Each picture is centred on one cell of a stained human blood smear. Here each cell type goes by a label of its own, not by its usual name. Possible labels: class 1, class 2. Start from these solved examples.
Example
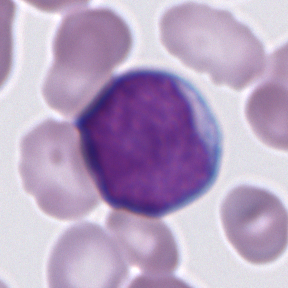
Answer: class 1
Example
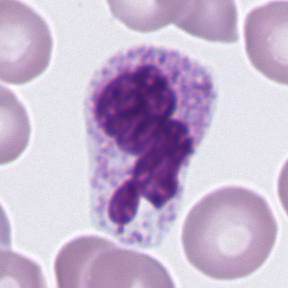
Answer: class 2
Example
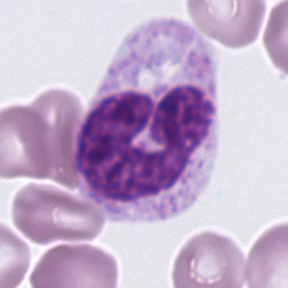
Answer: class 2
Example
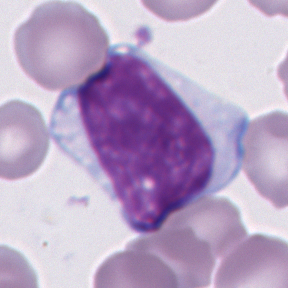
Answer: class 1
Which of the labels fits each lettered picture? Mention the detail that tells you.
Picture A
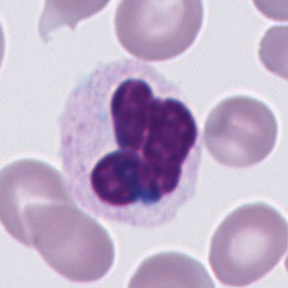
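class 2. The cytoplasm is plentiful and pale pinkish-grey.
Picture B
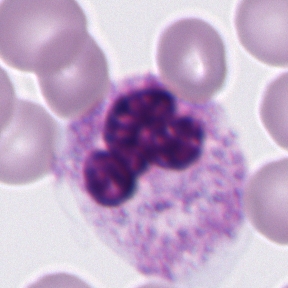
class 2. The cytoplasm is abundant and pale.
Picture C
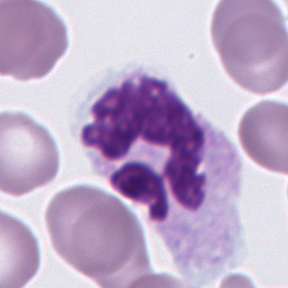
class 2. The nucleus forms a curved band of lobes that wraps around a pale central area of cytoplasm.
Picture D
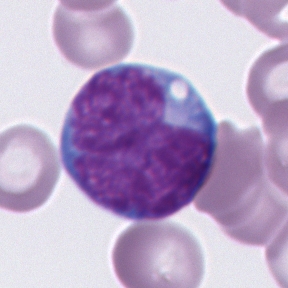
class 1. The nucleus fills most of the cell.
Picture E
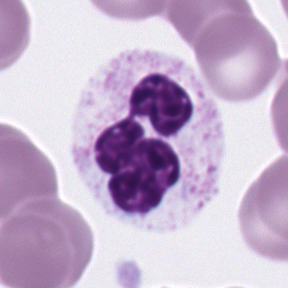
class 2. The cytoplasm is pale pinkish and nearly colourless.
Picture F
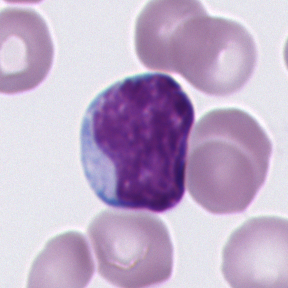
class 1. The nucleus is a single unlobed mass.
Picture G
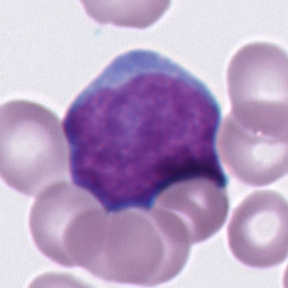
class 1. The cytoplasm is scant, forming a narrow cap mainly along the upper edge of the cell.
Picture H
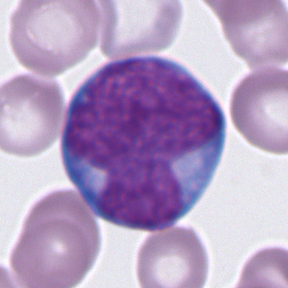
class 1. The nucleus fills most of the cell.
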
